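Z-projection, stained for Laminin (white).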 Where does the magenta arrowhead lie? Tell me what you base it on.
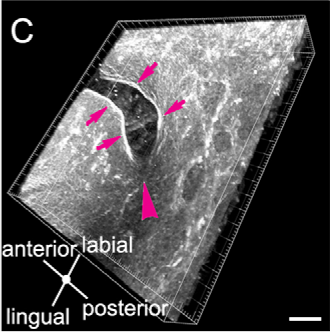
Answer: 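The distal tip. The arrowhead points to the end of the outlined structure. The bright line is faint or missing where the arrowhead points.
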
